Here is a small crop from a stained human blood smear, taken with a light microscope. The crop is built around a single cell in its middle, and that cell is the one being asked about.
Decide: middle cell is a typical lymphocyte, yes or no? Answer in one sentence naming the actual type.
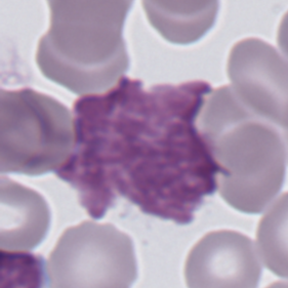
No, the middle cell is actually a smudge cell rather than a typical lymphocyte.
